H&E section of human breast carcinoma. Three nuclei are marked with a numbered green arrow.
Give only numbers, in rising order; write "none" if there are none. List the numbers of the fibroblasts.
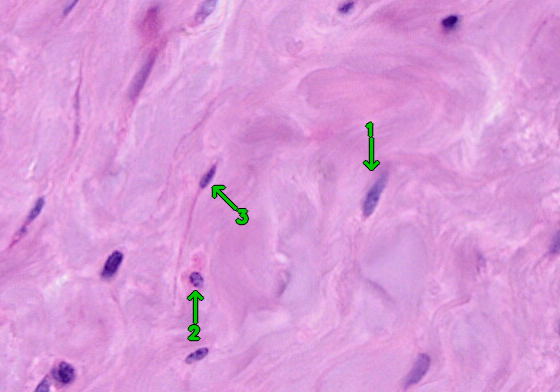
1, 3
